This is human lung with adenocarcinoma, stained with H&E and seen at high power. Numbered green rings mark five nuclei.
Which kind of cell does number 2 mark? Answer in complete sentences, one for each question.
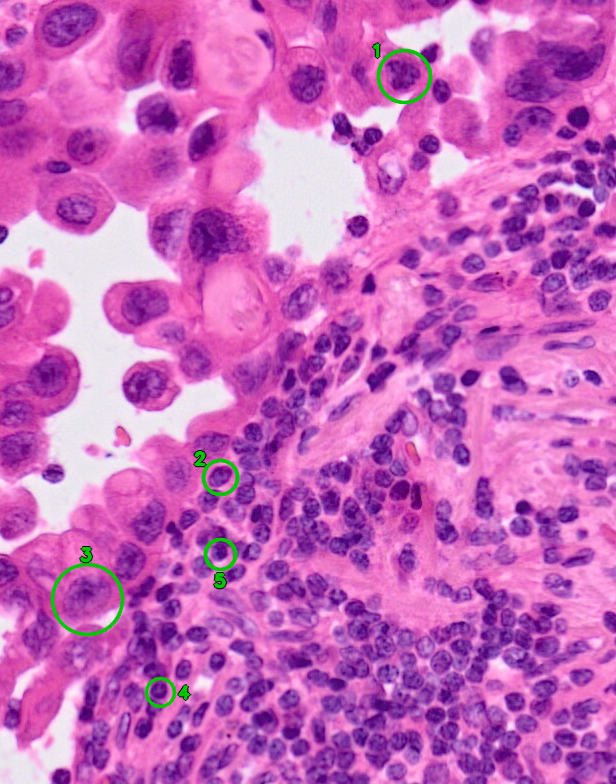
To a lymphocyte belongs the nucleus marked 2.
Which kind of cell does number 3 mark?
Number 3 among the marked cells is a carcinoma cell.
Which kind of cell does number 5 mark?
In the tissue shown, cell 5 is a lymphocyte.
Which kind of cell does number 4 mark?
The marked cell bearing number 4 is a lymphocyte.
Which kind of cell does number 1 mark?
The cell indicated by marker 1 is a carcinoma cell in this section.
